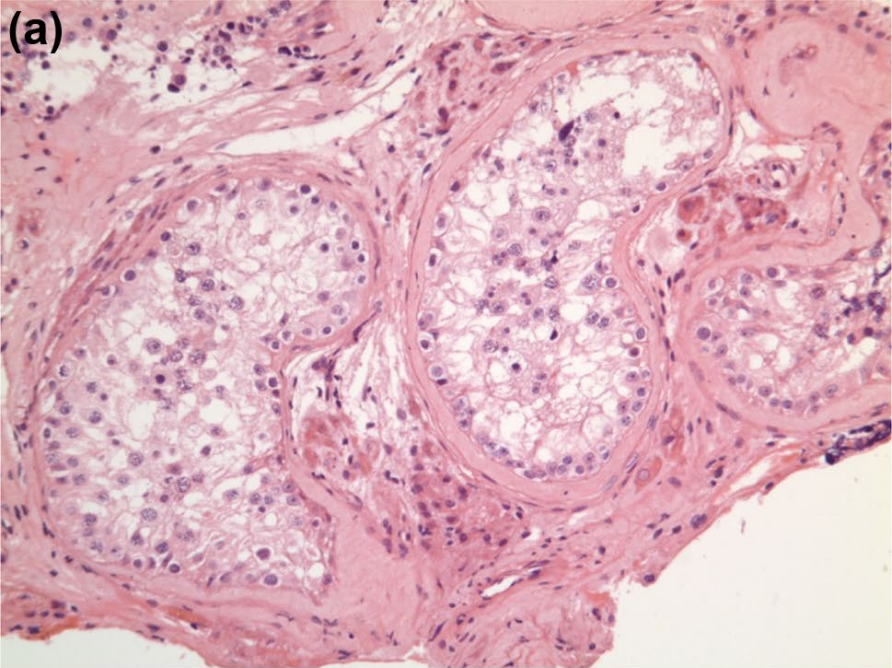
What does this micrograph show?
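This section shows testicular seminiferous tubules containing germ cells. Large rounded tubules are bounded by a thin layer of flattened cells and pink connective tissue. Inside, rounded cells with round nuclei and pale, finely vacuolated cytoplasm fill the tubules, with some open spaces in the centre. No spermatozoa with dark elongated heads are visible in the lumens. Between the tubules lies loose pink stroma with scattered spindle-shaped nuclei and small groups of cells with pinker cytoplasm.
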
